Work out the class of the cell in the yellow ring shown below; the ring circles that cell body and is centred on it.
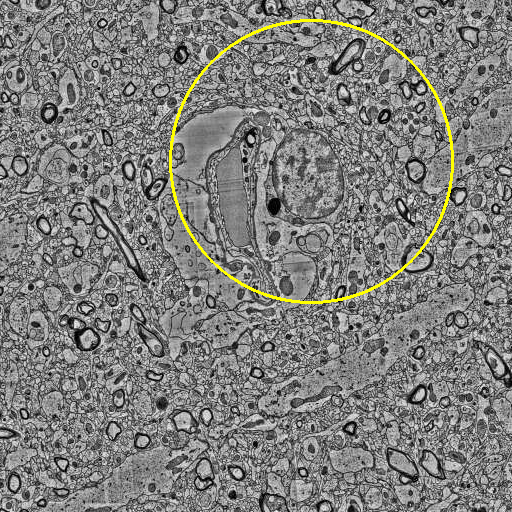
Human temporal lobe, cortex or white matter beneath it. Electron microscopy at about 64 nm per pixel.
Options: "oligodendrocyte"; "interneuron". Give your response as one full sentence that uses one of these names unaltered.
The body ringed in yellow, right at the ring's centre, is that of an oligodendrocyte.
